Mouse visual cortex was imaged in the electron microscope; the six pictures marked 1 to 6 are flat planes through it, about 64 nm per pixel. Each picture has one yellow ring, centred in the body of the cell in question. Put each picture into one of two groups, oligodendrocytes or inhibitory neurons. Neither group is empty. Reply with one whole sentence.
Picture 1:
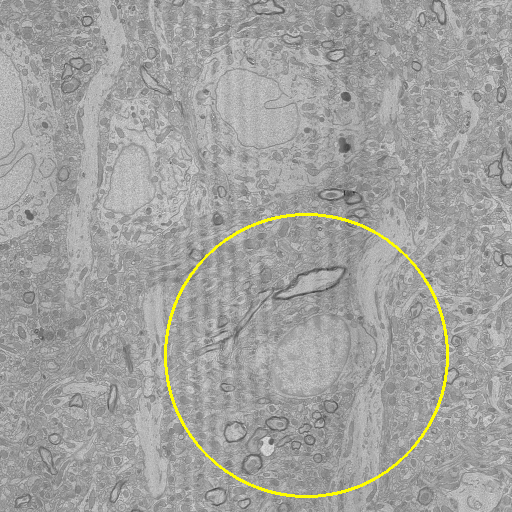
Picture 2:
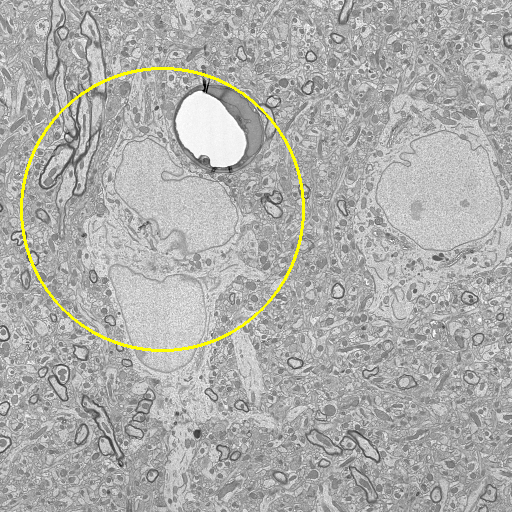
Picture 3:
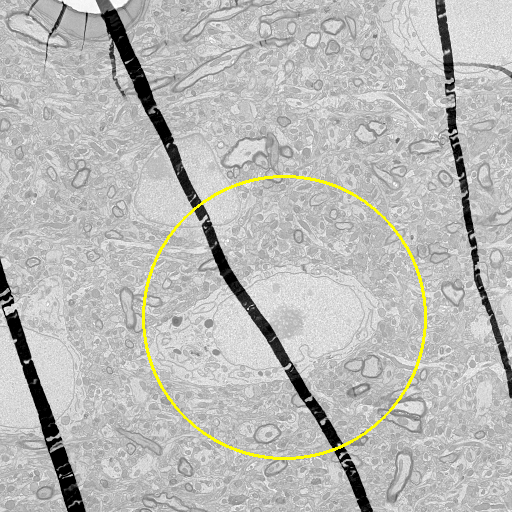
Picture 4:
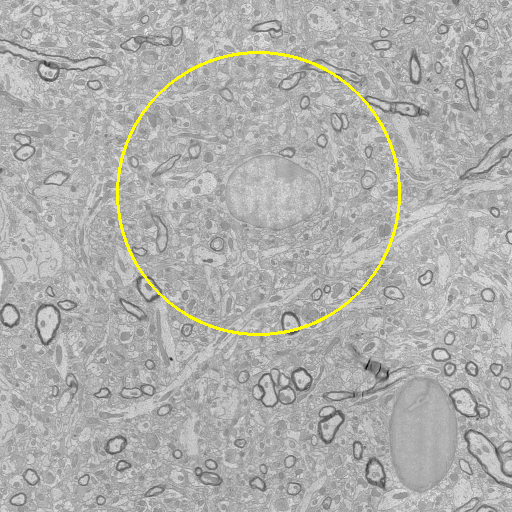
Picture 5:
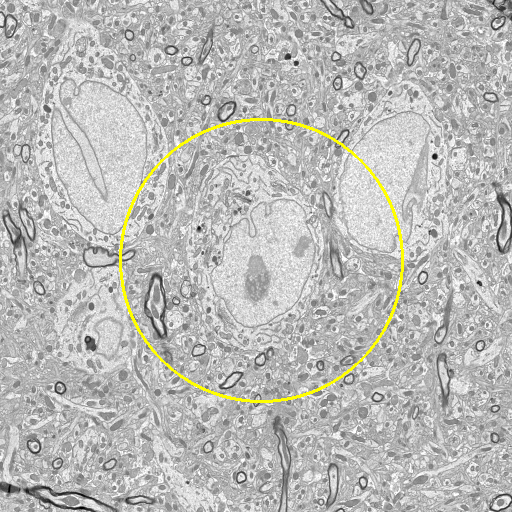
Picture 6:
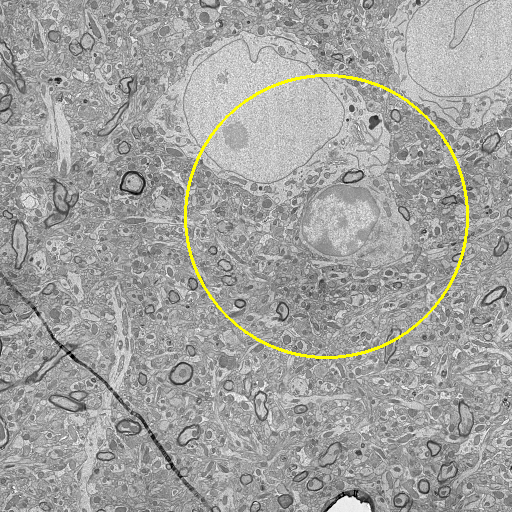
Pictures 1, 4 and 6 show oligodendrocytes; pictures 2, 3 and 5 show inhibitory neurons.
